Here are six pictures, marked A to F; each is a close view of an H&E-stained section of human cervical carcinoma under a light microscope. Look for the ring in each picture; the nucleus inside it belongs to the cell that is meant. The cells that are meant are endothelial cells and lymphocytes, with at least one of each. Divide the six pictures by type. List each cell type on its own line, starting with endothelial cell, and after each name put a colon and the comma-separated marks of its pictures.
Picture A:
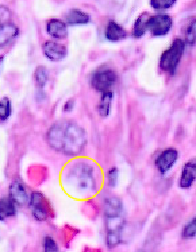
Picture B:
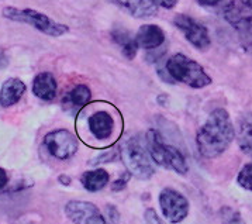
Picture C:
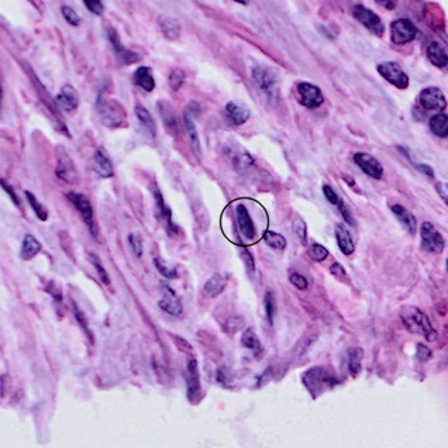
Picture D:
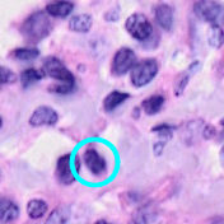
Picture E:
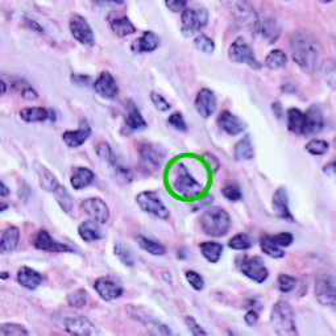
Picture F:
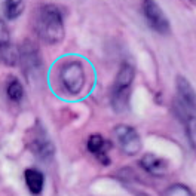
endothelial cell: A, F
lymphocyte: B, C, D, E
